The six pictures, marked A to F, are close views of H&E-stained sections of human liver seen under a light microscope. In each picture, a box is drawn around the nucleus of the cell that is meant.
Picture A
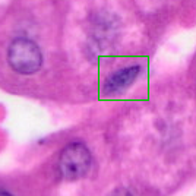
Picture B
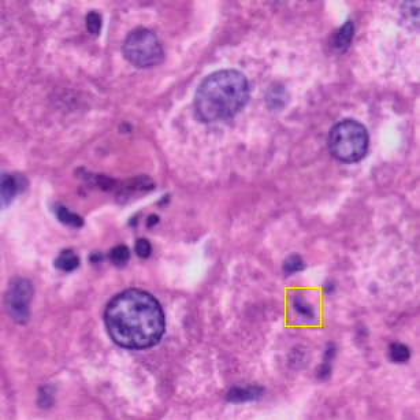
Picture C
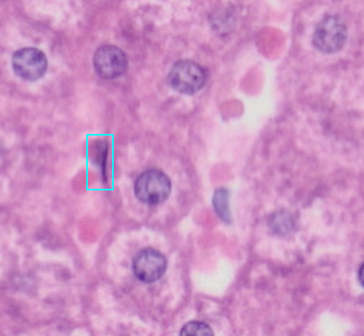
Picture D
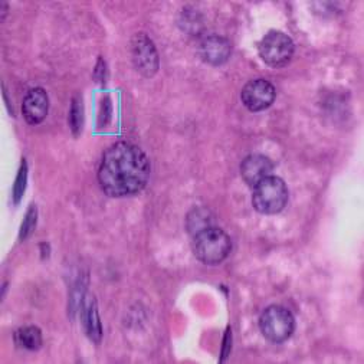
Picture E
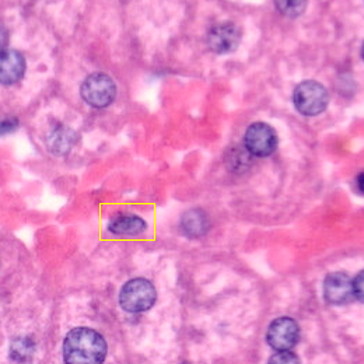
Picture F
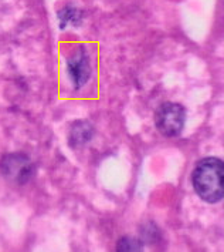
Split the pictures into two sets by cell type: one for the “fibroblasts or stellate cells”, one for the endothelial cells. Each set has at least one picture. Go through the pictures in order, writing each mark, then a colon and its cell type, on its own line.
A: fibroblast or stellate cell
B: endothelial cell
C: endothelial cell
D: fibroblast or stellate cell
E: endothelial cell
F: endothelial cell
